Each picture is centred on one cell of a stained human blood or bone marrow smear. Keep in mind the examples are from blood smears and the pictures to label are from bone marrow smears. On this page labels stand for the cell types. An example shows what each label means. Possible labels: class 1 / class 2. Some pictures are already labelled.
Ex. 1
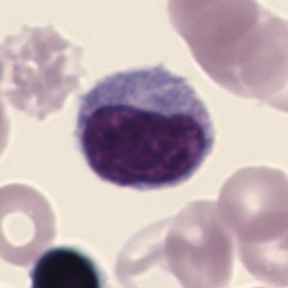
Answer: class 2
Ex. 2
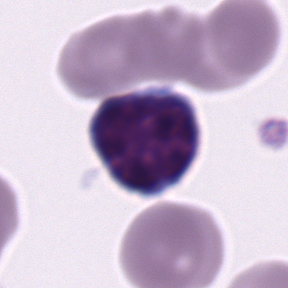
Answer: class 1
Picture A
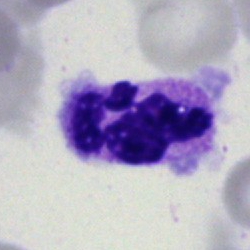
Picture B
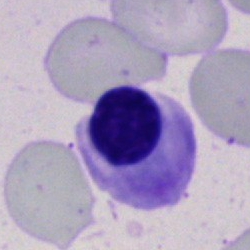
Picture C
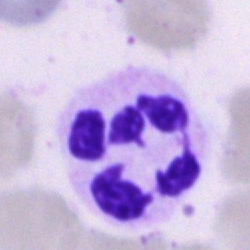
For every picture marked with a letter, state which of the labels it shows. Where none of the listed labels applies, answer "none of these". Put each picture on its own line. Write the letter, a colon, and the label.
A: none of these
B: class 2
C: none of these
